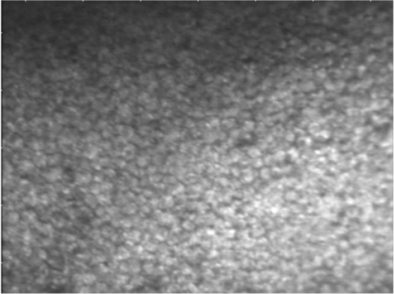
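The field is covered by a dense mosaic of small polygonal cells, each with a lighter center and darker outline, packed edge to edge in one layer. Their sizes are fairly even, and the layer is brighter in the lower right and dimmer toward the upper left. This is a hexagonal monolayer of corneal endothelium viewed from the front.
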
